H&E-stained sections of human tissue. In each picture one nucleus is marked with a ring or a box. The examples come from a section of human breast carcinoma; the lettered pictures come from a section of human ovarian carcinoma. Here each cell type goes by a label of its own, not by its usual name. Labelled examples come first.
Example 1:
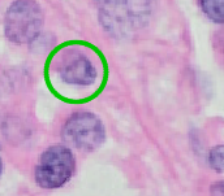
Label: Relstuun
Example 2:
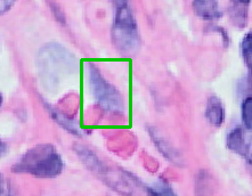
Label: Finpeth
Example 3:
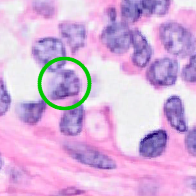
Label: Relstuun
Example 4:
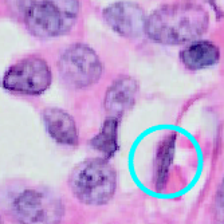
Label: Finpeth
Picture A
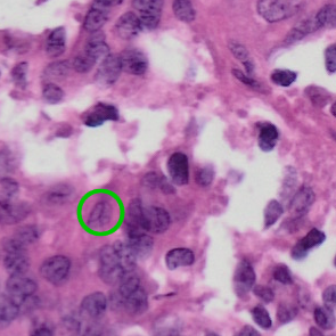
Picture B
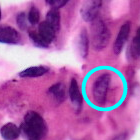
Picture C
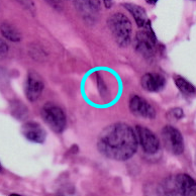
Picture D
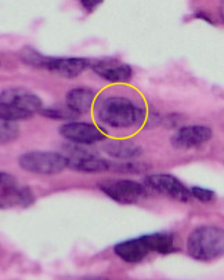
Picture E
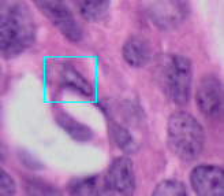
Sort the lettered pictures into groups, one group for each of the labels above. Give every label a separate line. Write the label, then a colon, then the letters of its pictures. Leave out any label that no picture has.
Relstuun: D
Finpeth: A, B, C, E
